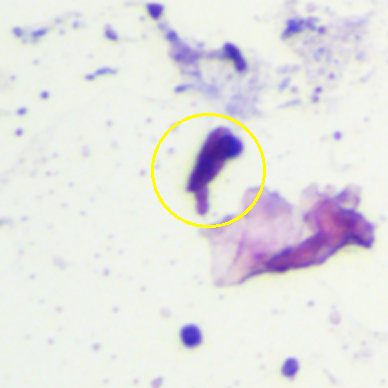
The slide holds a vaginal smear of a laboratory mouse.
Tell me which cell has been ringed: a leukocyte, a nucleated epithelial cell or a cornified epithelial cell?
It is a cornified epithelial cell.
